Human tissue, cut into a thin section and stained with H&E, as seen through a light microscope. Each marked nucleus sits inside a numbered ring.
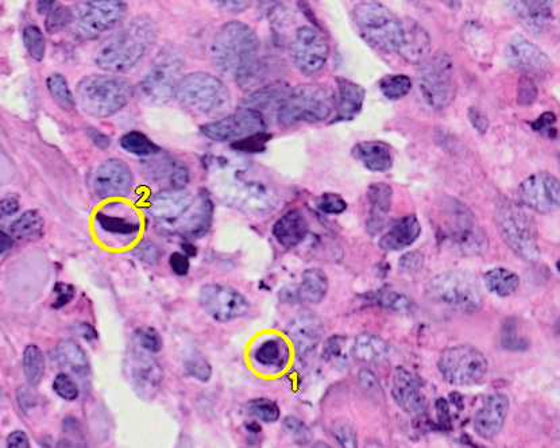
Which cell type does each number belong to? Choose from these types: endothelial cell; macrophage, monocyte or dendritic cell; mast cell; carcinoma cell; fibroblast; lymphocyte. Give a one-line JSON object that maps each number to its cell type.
{"1": "lymphocyte", "2": "carcinoma cell"}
